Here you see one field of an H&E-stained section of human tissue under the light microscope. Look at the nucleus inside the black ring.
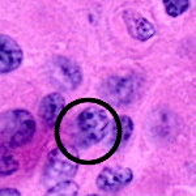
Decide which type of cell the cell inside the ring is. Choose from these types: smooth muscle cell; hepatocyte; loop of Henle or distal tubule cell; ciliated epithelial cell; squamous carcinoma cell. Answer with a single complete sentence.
The category to which the cell inside the ring belongs is that of a squamous carcinoma cell.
